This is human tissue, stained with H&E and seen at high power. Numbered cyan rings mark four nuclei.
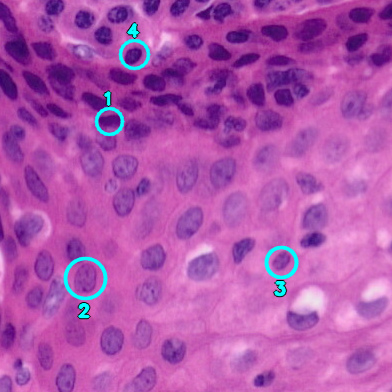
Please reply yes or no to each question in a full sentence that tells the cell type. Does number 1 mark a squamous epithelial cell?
Yes, regarding cell number 1, it is a squamous epithelial cell.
